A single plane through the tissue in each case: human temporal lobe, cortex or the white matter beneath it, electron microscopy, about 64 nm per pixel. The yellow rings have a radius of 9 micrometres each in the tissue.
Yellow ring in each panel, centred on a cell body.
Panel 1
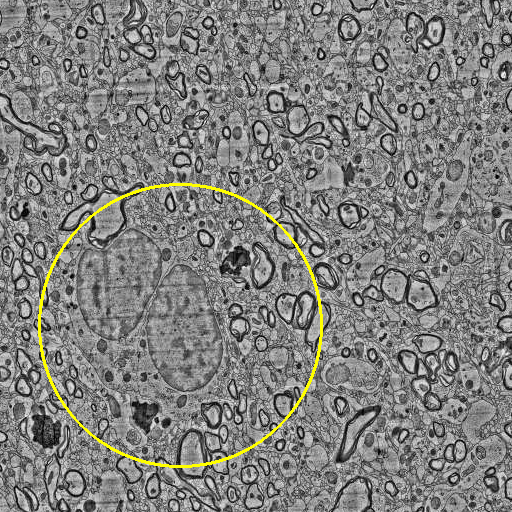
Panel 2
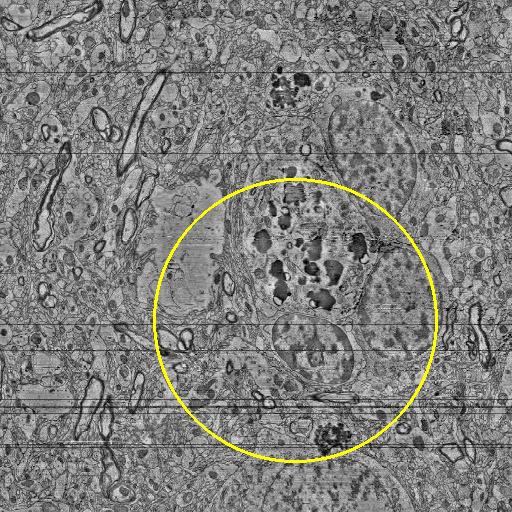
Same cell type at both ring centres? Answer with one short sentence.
No, the two cells are of two types.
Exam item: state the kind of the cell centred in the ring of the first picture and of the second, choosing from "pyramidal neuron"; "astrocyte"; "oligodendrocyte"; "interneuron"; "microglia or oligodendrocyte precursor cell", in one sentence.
The first picture shows an oligodendrocyte at the ring centre and the second shows a microglial cell or oligodendrocyte precursor cell.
